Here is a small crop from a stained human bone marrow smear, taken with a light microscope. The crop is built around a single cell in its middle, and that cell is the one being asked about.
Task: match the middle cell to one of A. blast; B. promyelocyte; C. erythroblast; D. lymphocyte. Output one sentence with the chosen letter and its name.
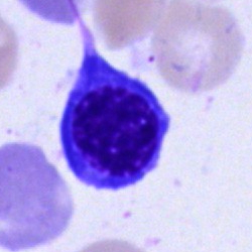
The right choice is option C: the cell in the middle is an erythroblast.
